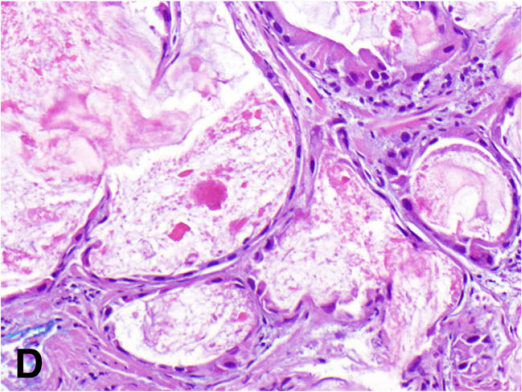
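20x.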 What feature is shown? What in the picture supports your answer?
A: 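Cystically dilated glands. Large rounded gland spaces are lined by a thin layer of flat cells. The lumina are filled with pale pink granular material.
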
